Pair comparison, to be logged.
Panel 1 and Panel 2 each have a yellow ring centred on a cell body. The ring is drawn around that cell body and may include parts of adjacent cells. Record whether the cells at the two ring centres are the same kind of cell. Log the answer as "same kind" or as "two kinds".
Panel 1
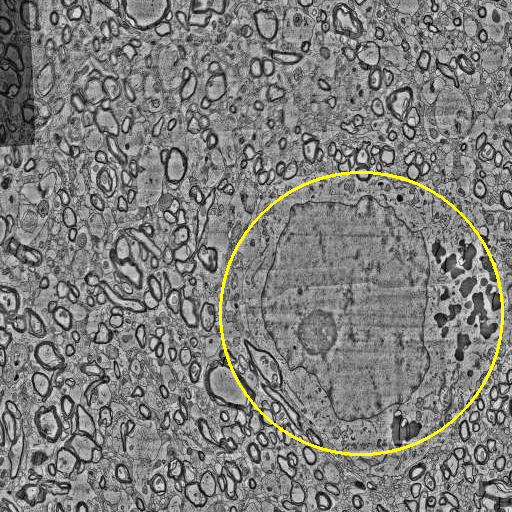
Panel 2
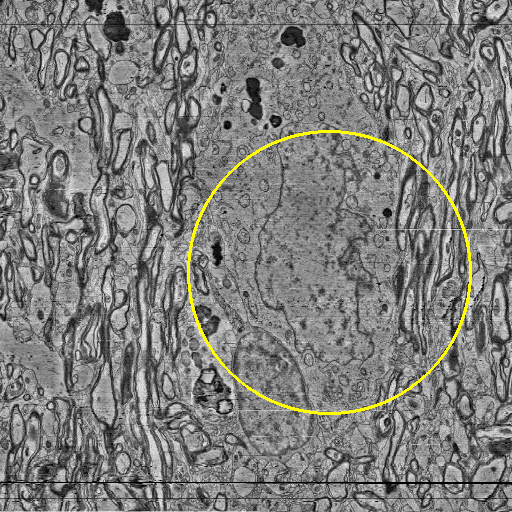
same kind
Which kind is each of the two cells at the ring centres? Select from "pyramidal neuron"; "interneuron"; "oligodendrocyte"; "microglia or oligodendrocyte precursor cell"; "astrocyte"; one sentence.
The first and the second cell are each a pyramidal neuron.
